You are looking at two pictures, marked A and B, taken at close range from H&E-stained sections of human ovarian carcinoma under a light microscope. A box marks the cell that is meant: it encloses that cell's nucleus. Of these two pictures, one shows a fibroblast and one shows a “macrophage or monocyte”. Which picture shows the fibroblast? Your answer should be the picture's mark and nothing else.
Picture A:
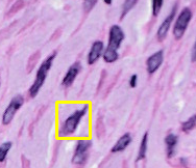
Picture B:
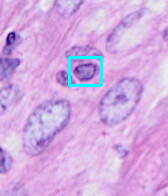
A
